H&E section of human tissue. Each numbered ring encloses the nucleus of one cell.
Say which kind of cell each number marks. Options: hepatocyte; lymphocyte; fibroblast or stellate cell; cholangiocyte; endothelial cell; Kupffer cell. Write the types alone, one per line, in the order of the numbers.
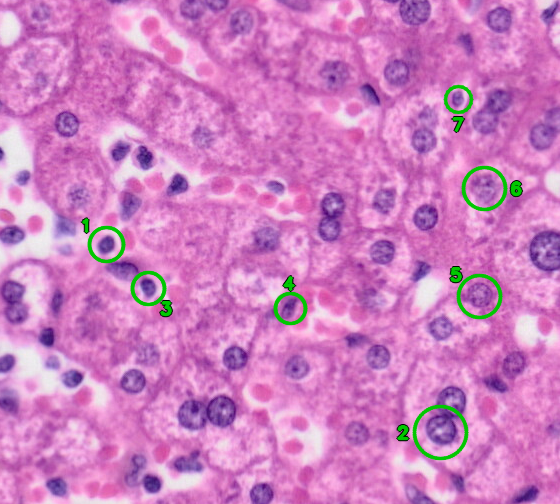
lymphocyte
hepatocyte
lymphocyte
Kupffer cell
hepatocyte
hepatocyte
lymphocyte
